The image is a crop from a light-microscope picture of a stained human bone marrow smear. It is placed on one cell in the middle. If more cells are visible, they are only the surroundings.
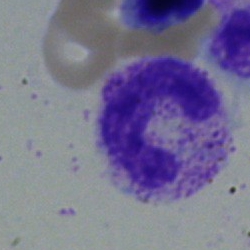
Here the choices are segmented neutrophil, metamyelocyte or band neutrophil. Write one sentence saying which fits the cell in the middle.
Looking at the middle of the crop, the cell there is a band neutrophil.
